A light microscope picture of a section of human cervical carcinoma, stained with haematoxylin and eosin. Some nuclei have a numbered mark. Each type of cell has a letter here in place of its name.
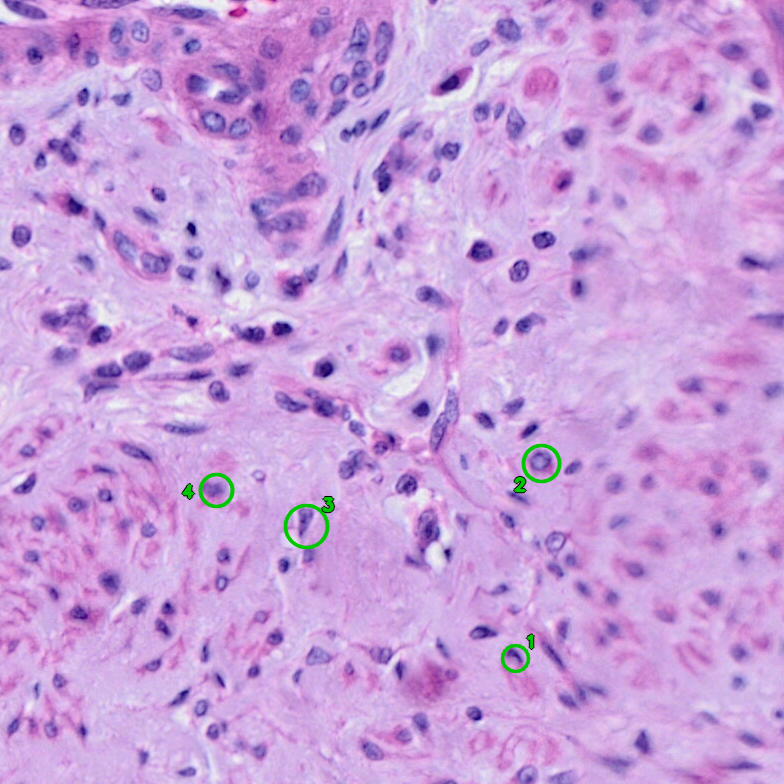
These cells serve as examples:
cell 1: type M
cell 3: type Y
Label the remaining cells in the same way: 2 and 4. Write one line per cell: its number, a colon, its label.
2: type M
4: type M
